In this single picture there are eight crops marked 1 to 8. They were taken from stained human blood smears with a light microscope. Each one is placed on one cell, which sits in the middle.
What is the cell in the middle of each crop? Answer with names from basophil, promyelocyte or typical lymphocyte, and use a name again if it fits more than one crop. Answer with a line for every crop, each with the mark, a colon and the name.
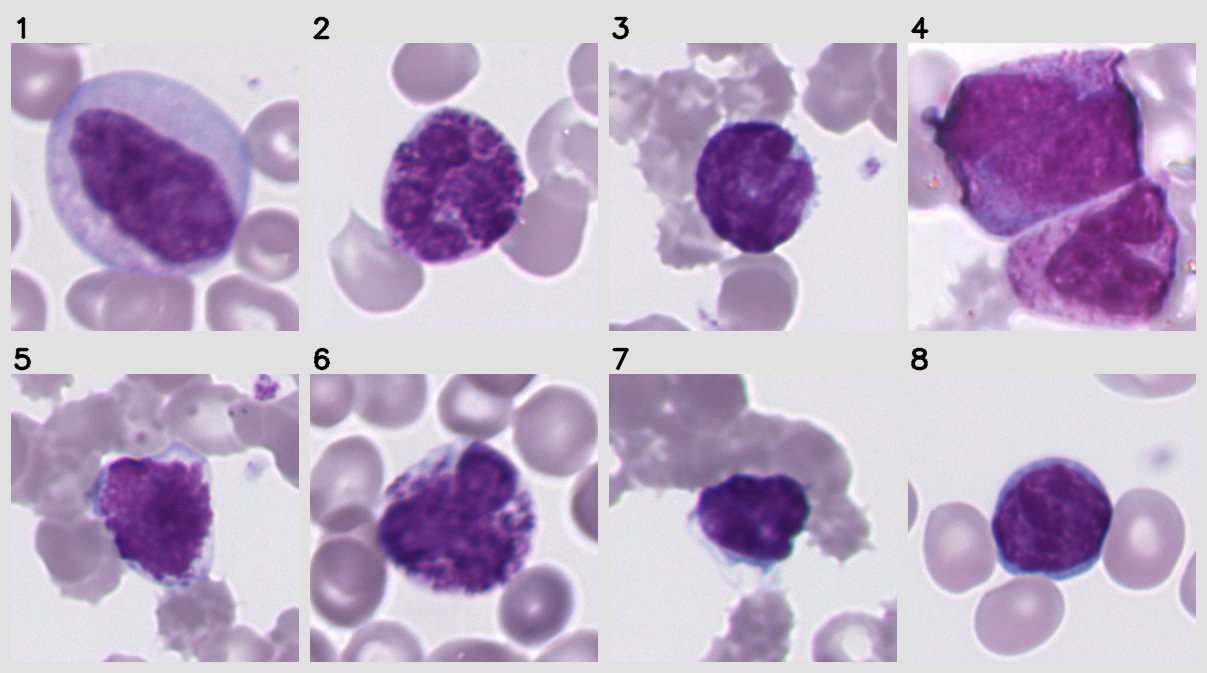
1: promyelocyte
2: basophil
3: typical lymphocyte
4: promyelocyte
5: typical lymphocyte
6: basophil
7: typical lymphocyte
8: typical lymphocyte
